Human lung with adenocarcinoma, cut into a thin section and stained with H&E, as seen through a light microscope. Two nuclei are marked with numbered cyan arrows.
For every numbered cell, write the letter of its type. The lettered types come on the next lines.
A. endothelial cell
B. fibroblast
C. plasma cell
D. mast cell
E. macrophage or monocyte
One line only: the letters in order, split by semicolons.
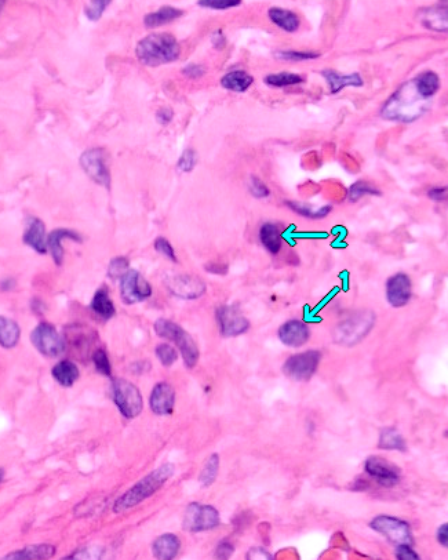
D; C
